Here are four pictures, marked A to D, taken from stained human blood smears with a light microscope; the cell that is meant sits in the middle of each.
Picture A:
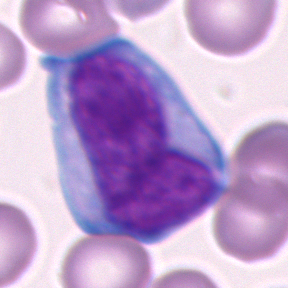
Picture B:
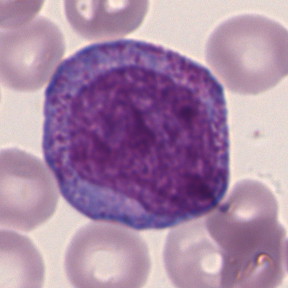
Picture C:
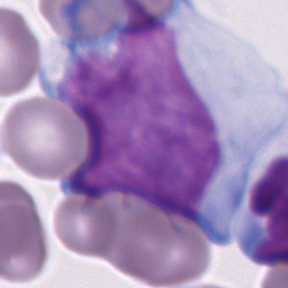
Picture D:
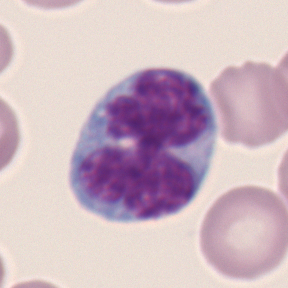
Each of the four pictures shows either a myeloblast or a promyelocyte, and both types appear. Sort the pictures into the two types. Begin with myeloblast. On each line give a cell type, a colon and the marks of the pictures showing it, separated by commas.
myeloblast: A, C, D
promyelocyte: B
